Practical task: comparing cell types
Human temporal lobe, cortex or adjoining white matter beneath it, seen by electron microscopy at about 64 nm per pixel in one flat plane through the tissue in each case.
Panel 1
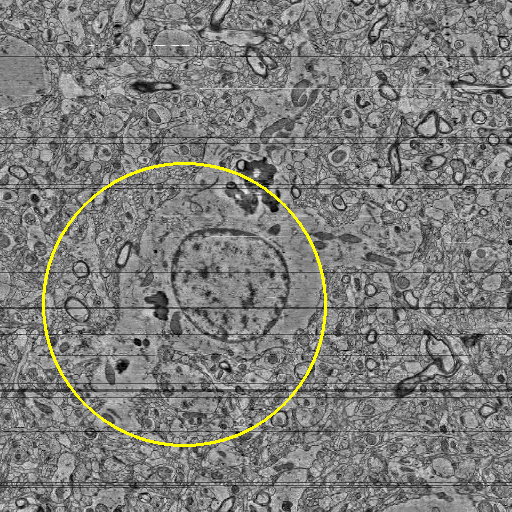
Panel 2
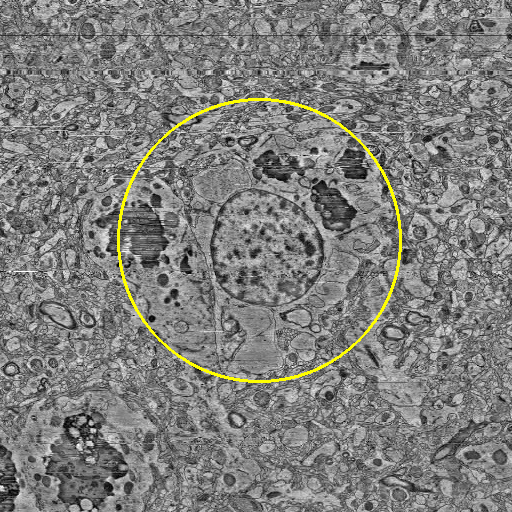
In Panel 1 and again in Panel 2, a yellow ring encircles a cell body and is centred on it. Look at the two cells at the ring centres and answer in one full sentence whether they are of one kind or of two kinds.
The two cells sitting at the ring centres of Panels 1 and 2 are of one kind.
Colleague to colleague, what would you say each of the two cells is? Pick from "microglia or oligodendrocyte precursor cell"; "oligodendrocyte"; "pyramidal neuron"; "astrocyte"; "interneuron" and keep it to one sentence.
Each cell at the centre of a ring is an astrocyte.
